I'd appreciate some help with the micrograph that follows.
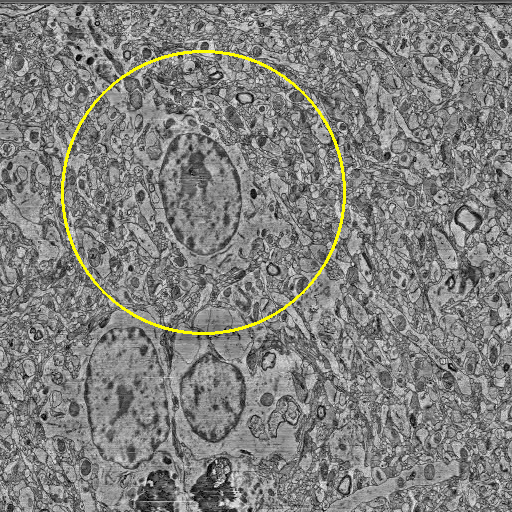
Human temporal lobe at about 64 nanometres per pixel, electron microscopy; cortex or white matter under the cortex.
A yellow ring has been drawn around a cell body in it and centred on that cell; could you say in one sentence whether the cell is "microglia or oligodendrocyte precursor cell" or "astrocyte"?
It is an astrocyte at the centre of the ring.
